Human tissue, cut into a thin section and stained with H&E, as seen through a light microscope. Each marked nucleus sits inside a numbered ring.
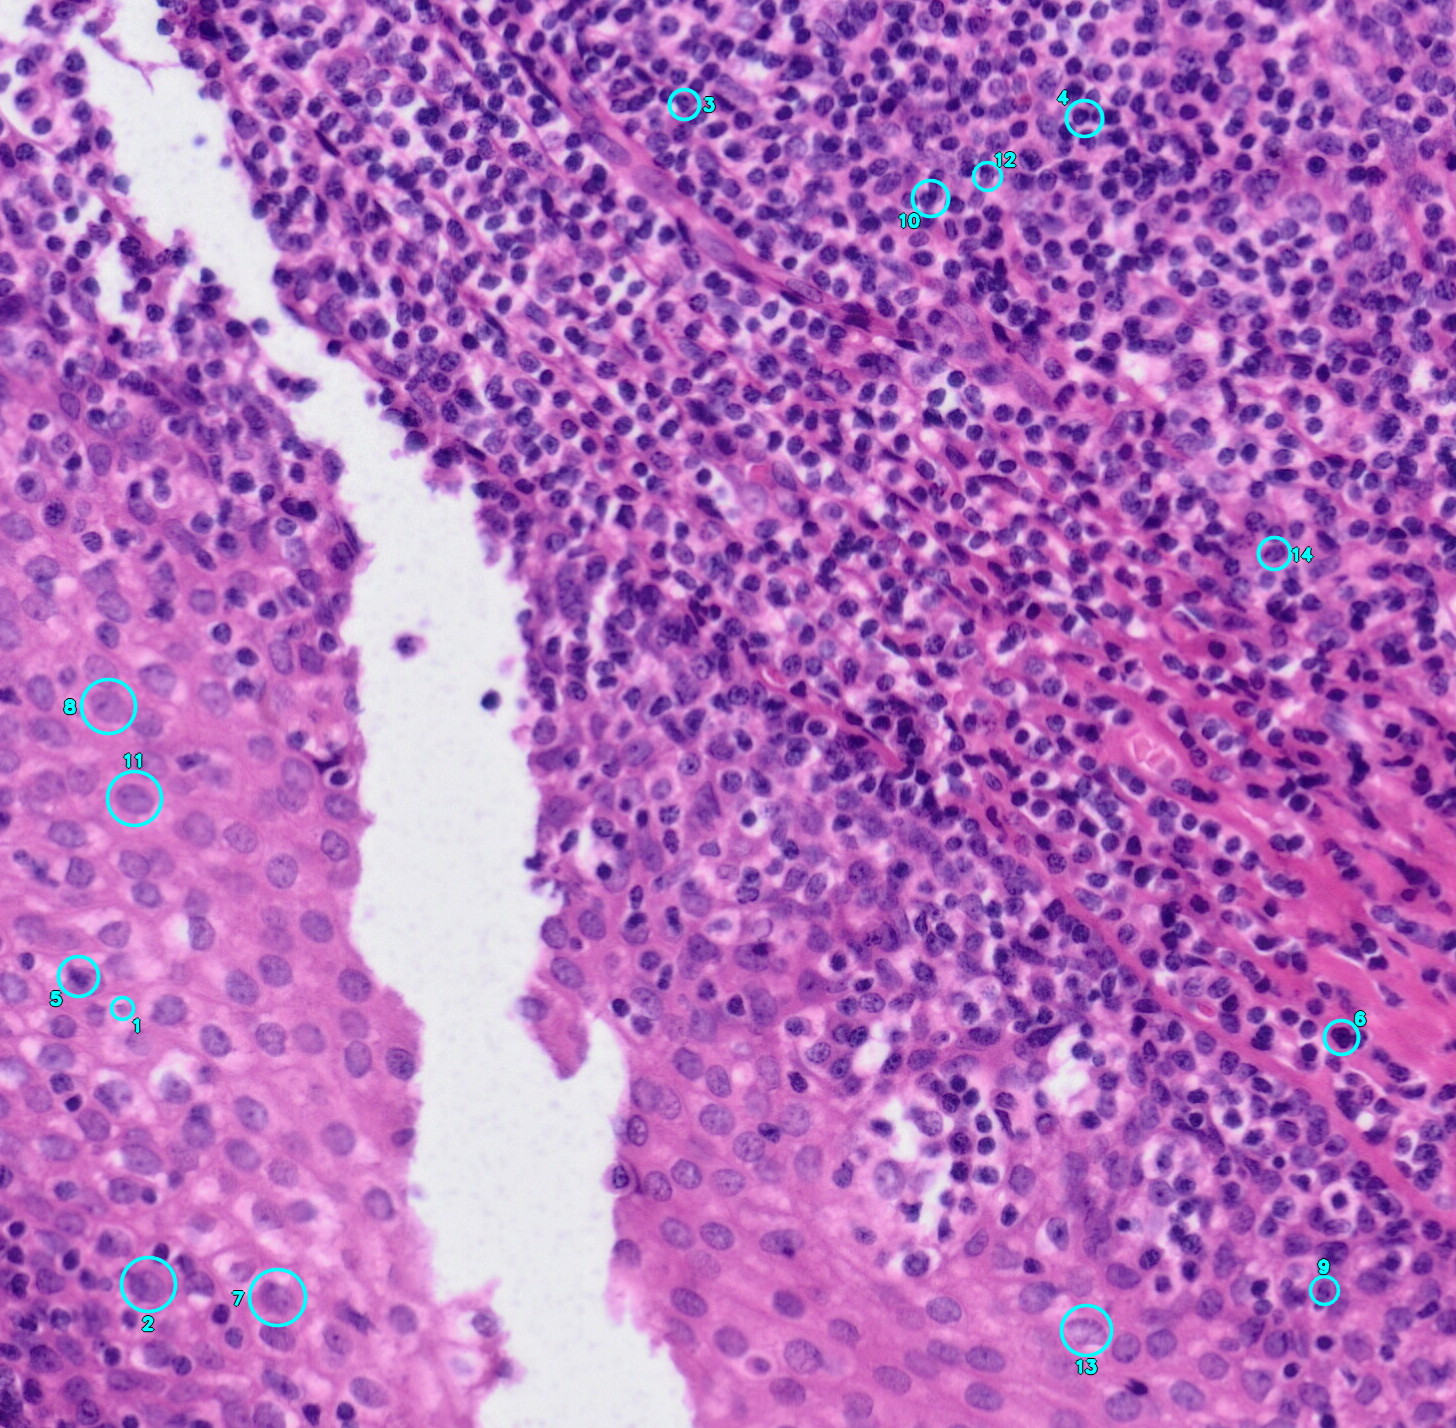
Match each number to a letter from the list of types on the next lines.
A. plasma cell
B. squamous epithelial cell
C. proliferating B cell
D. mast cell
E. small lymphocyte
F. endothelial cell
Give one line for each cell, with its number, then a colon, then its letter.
1: B
2: B
3: E
4: E
5: B
6: A
7: B
8: B
9: B
10: E
11: B
12: E
13: B
14: A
